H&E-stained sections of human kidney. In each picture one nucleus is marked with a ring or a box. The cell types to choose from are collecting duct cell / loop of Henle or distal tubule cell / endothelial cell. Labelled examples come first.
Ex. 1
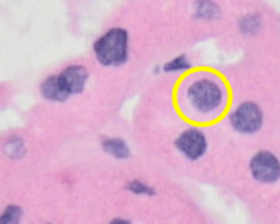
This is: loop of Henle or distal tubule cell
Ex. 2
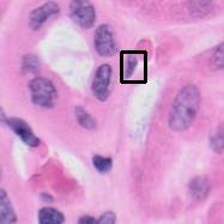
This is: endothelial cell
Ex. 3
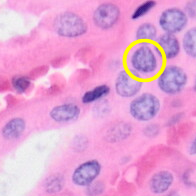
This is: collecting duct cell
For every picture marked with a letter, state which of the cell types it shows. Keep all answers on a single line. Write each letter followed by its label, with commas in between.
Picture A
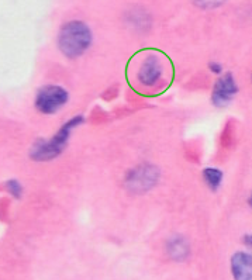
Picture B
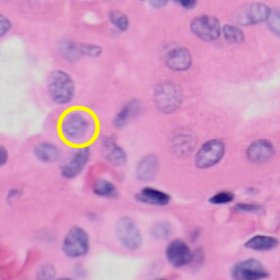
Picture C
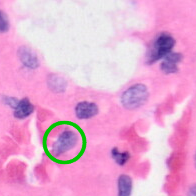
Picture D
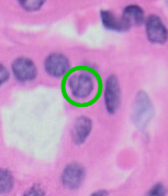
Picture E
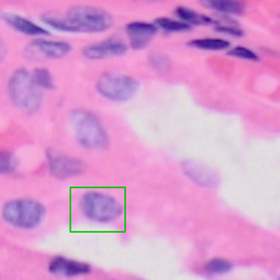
A endothelial cell, B loop of Henle or distal tubule cell, C endothelial cell, D collecting duct cell, E loop of Henle or distal tubule cell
